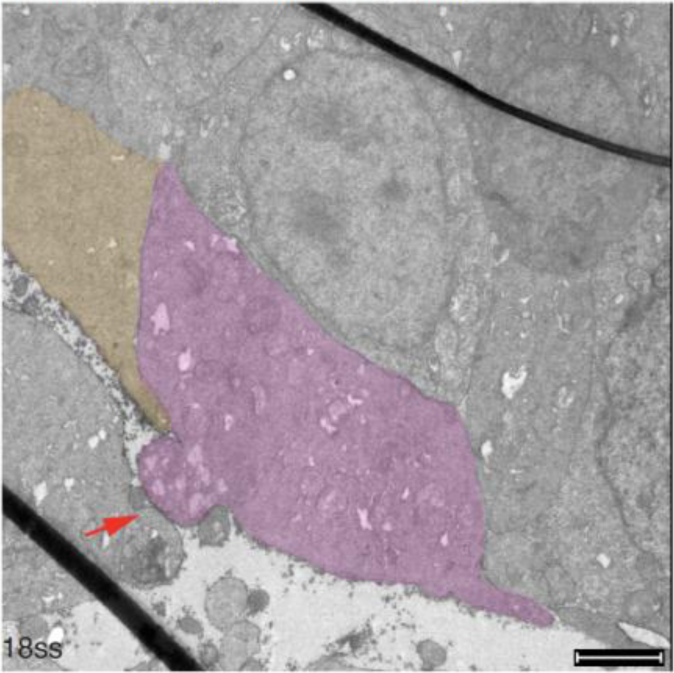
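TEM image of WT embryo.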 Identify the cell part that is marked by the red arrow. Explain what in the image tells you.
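Bleb. The arrow points to a rounded protrusion bulging from the edge of the tinted cell. The protrusion extends into a pale space outside the cell layer.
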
